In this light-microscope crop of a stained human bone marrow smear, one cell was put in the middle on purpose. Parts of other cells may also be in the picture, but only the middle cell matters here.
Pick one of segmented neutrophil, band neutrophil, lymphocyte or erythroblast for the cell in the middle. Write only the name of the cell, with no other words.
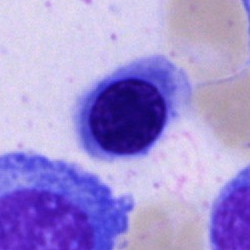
erythroblast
